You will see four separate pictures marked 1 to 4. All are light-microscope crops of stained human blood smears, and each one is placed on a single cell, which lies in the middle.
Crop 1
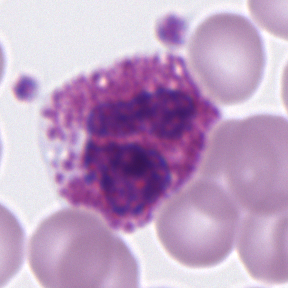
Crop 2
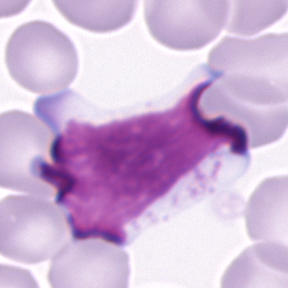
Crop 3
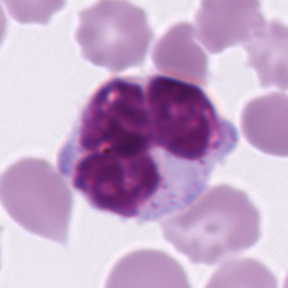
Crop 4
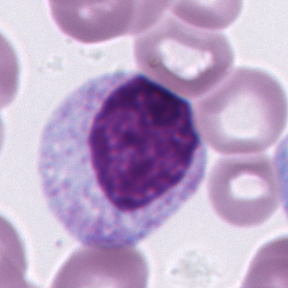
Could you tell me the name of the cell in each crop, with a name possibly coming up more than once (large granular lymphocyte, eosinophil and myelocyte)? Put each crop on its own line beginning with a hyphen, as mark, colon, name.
- 1: eosinophil
- 2: large granular lymphocyte
- 3: large granular lymphocyte
- 4: myelocyte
